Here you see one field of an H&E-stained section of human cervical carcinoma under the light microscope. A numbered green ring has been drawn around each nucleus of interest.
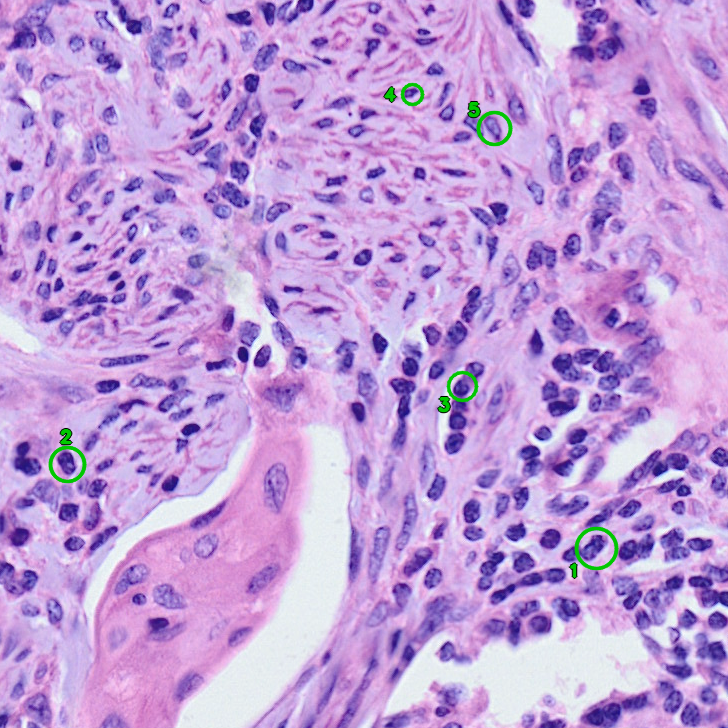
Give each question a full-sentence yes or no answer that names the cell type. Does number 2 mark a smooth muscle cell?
No, the right label for cell 2 is a lymphocyte rather than a smooth muscle cell.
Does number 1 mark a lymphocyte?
Yes, kindly take note: the cell numbered 1 is a lymphocyte.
